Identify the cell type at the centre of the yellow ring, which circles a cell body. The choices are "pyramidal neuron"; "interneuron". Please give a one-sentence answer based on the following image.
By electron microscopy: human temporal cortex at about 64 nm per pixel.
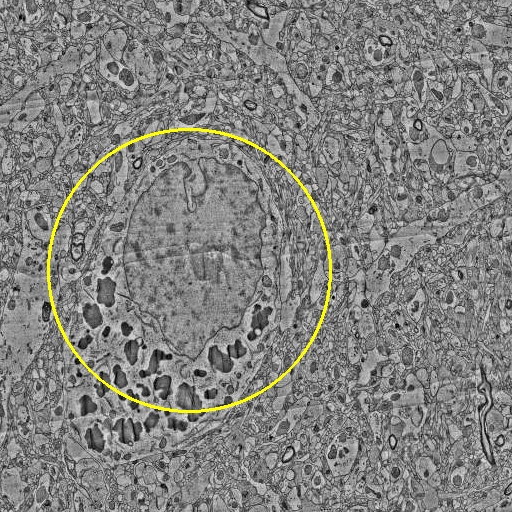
The cell marked by the ring is an interneuron.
